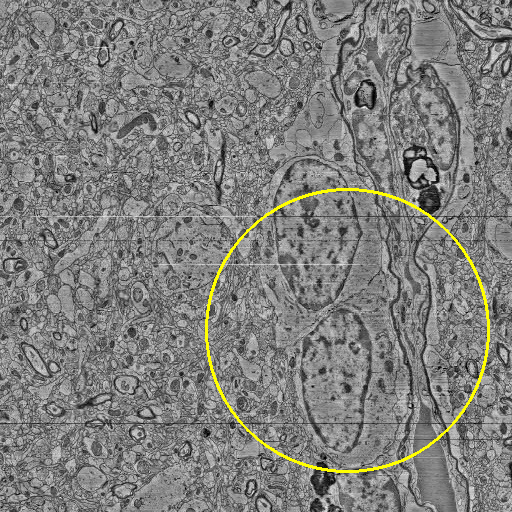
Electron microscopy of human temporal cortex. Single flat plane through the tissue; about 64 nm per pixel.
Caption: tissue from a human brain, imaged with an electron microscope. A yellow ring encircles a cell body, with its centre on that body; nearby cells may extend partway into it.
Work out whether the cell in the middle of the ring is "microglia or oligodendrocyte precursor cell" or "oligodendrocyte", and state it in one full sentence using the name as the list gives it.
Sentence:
In the picture, the cell that the yellow ring surrounds at its centre is a microglial cell or oligodendrocyte precursor cell.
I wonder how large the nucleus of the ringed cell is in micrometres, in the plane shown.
The nucleus comes to approximately 9 by 5 micrometres and is clearly longer than it is wide in this plane.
